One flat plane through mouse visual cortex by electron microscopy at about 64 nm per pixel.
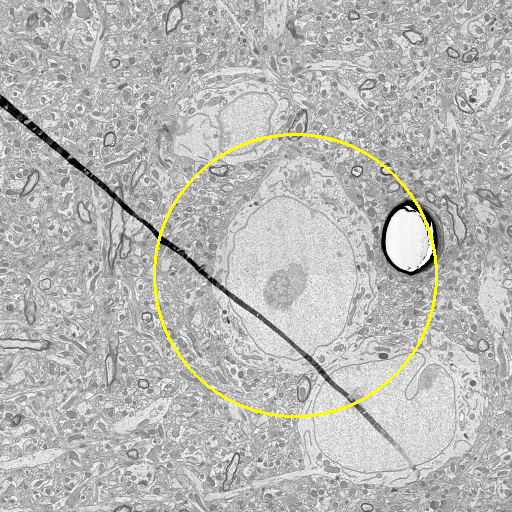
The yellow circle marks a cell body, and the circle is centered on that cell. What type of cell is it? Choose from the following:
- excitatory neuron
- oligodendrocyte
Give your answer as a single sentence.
This cell body belongs to an excitatory neuron.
